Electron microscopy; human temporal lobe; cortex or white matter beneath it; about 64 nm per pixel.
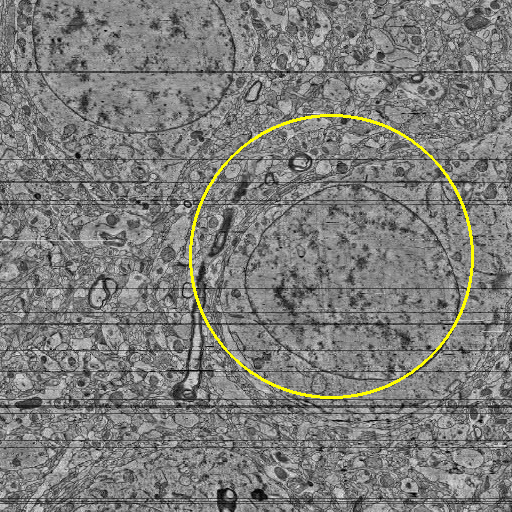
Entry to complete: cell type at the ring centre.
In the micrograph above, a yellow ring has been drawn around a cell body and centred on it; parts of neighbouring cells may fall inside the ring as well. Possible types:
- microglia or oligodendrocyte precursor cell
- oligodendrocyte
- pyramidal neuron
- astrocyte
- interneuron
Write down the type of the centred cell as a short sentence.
The ring is centred on a pyramidal neuron.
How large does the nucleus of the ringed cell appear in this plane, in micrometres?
About 14 by 12 micrometers, in this plane.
